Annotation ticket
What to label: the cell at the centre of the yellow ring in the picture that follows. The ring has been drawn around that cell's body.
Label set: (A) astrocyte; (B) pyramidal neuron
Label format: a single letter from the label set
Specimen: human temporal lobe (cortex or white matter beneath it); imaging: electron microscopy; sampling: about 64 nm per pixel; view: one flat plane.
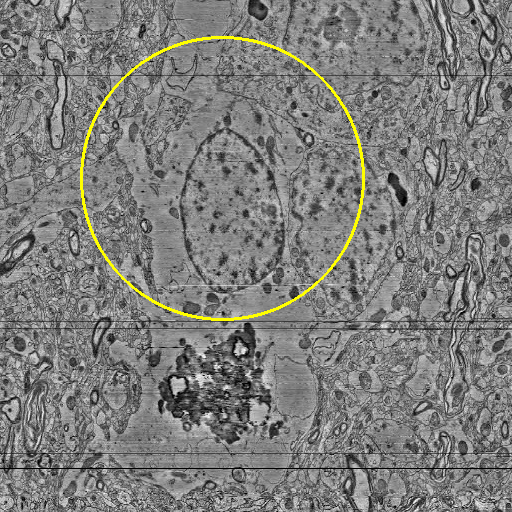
A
